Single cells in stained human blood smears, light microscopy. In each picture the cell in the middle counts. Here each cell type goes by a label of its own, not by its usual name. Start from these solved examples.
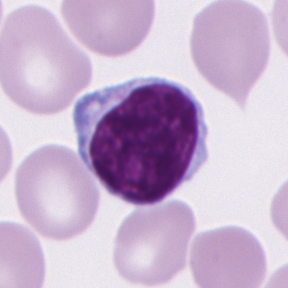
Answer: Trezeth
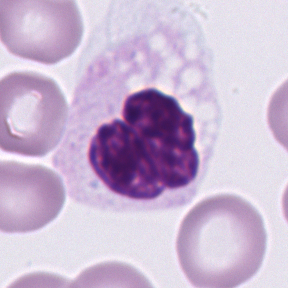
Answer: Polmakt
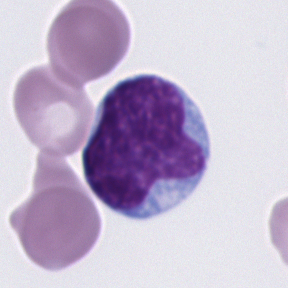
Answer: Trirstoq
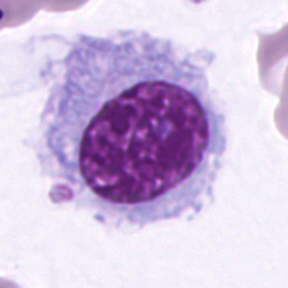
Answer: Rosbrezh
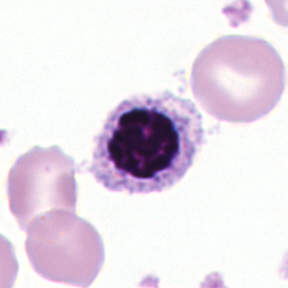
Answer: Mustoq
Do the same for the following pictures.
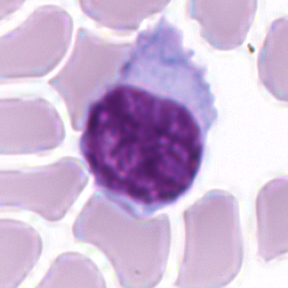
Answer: Rosbrezh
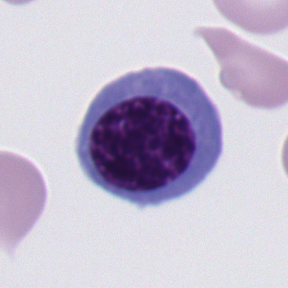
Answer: Mustoq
